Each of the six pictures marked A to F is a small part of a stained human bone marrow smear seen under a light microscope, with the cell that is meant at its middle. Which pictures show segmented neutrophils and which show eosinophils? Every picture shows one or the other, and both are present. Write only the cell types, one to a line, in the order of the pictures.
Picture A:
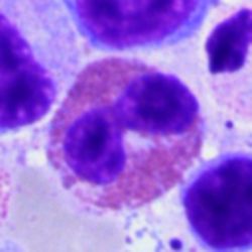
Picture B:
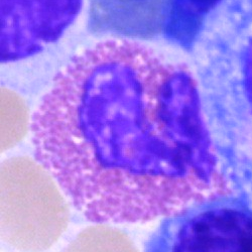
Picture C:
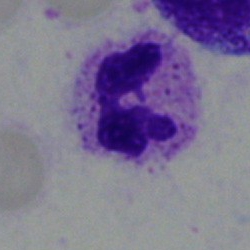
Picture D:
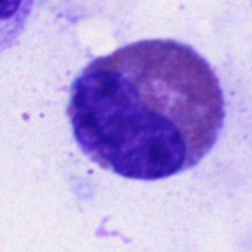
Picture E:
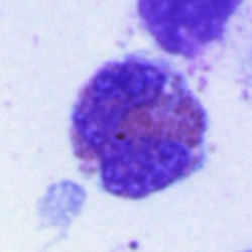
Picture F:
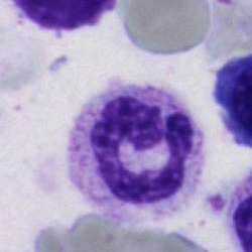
eosinophil
eosinophil
segmented neutrophil
eosinophil
eosinophil
segmented neutrophil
